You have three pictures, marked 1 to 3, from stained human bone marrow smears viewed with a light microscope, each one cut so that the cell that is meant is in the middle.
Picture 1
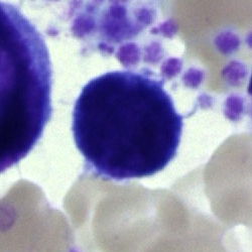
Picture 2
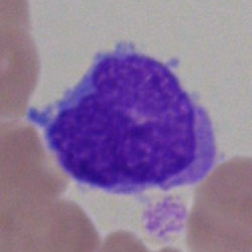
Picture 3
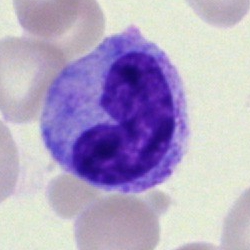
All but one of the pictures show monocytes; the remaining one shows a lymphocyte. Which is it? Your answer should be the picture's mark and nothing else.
1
